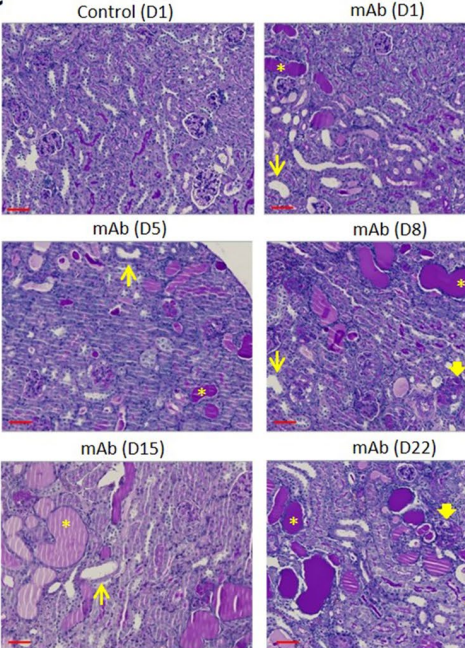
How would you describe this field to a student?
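These are sections of kidney cortex with glomeruli and tubules, stained in shades of purple and magenta. In one image the tubules are closely packed with narrow lumina and the glomeruli are round and intact. In the others many tubules are widened with thin, flattened linings, and numerous lumina are plugged with homogeneous, intensely magenta casts among the surrounding tubules.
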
